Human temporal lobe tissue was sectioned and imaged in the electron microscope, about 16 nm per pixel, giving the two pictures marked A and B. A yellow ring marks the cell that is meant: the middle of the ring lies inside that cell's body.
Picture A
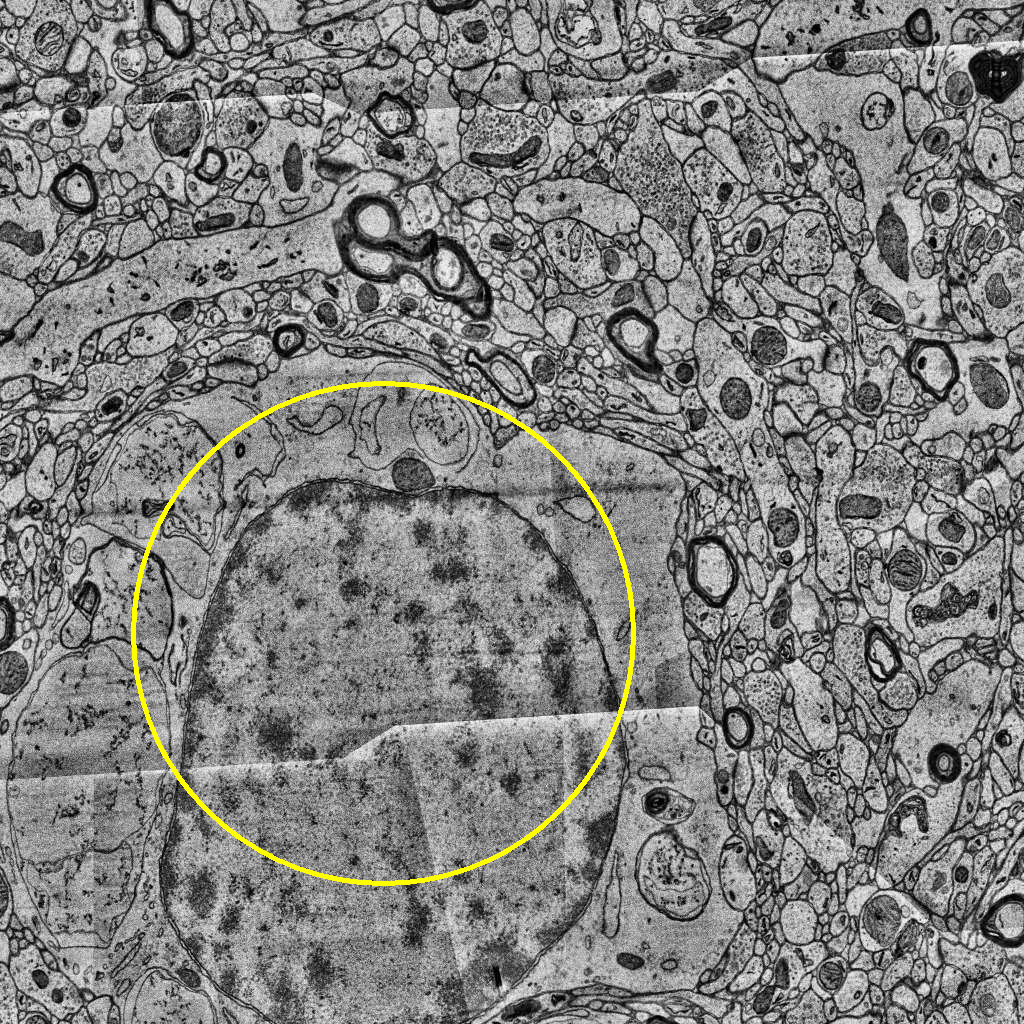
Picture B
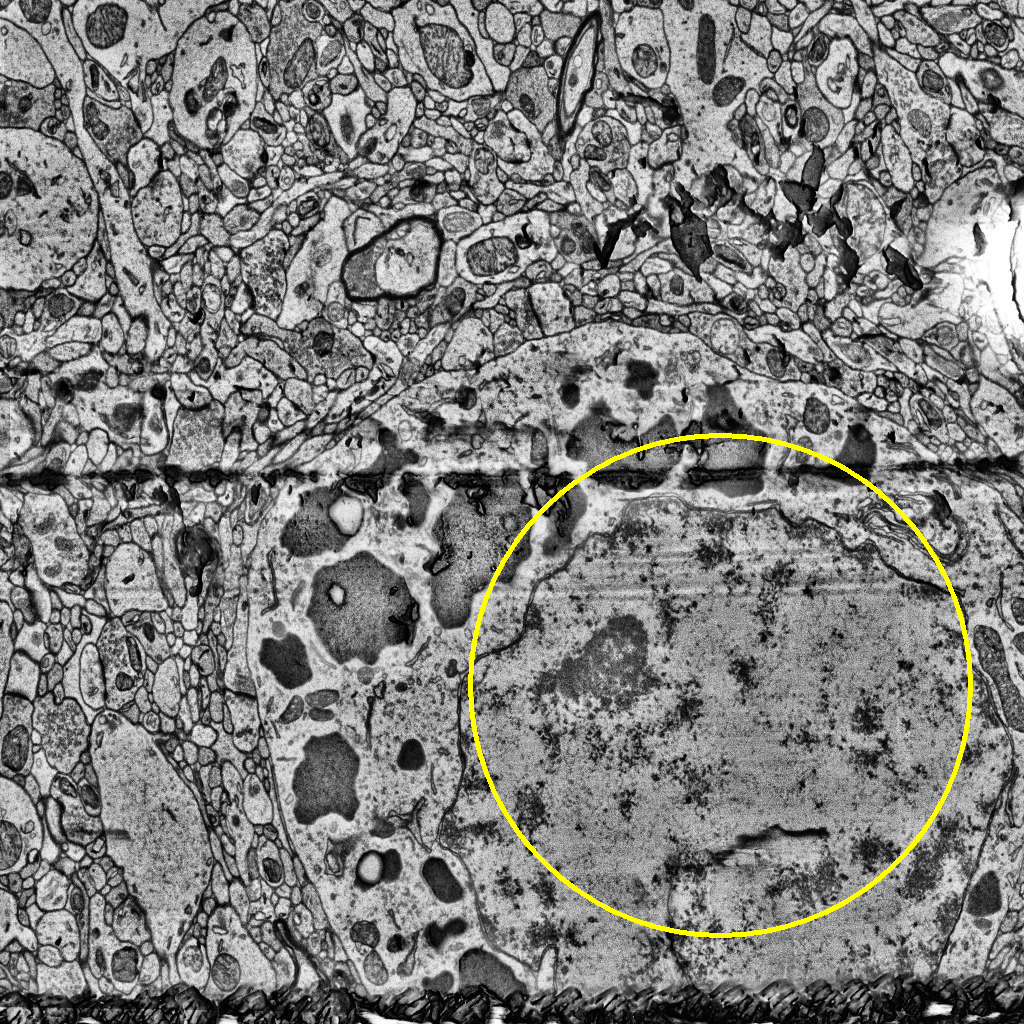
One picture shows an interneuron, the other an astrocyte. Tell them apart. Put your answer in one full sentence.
Picture B shows an interneuron, while picture A shows an astrocyte.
